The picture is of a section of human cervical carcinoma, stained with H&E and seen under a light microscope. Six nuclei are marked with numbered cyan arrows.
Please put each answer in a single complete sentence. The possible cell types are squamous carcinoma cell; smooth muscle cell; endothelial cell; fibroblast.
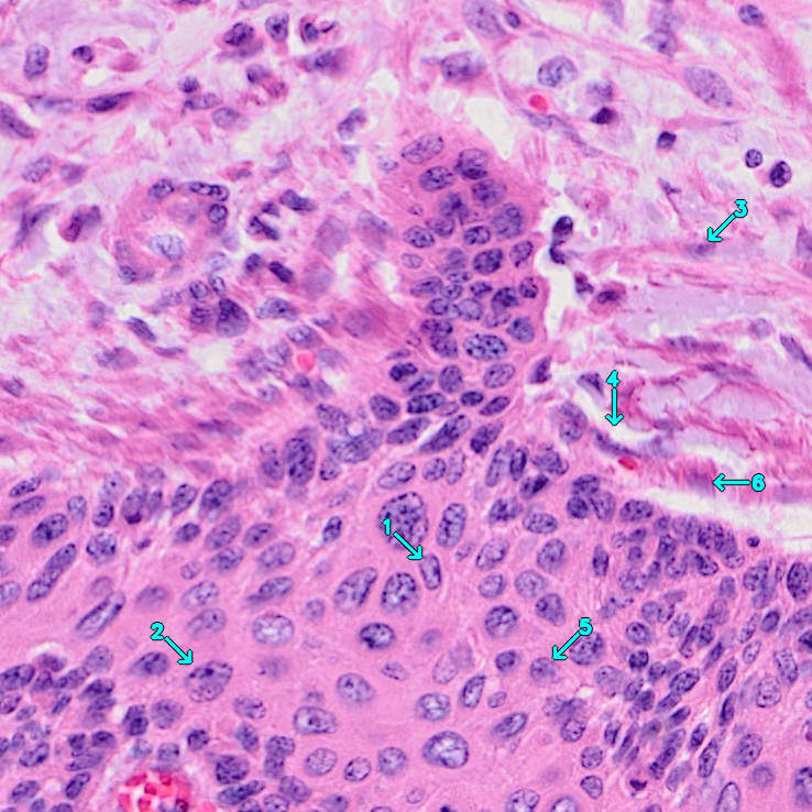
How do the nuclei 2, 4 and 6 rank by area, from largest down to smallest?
The nuclei rank 2, 4, 6, from largest to smallest.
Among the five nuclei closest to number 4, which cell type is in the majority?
The majority of the five nuclei closest to number 4 belong to fibroblasts.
